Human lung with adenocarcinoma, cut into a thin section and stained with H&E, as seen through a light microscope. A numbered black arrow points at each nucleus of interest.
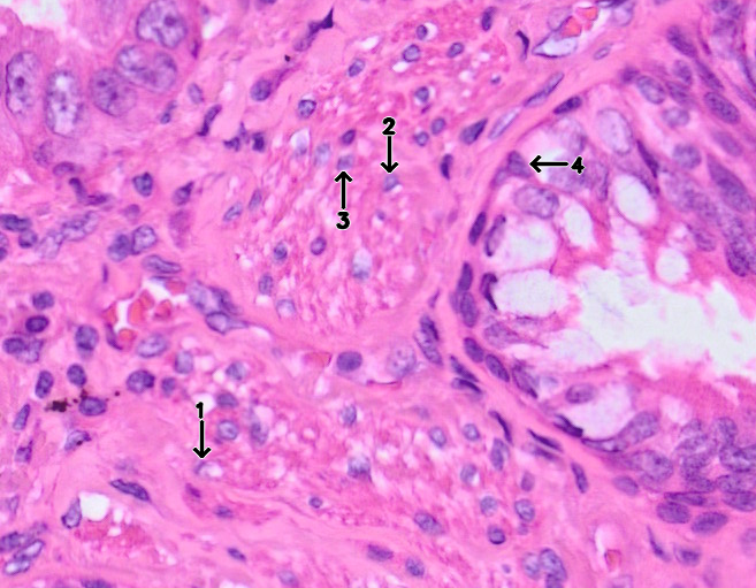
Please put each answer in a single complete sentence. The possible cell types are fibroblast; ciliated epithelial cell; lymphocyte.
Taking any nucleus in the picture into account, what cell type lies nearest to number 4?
It is a ciliated epithelial cell whose nucleus is nearest to number 4.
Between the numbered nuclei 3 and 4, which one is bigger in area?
Nucleus 4 covers more area, about 2 times as much as nucleus 3.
